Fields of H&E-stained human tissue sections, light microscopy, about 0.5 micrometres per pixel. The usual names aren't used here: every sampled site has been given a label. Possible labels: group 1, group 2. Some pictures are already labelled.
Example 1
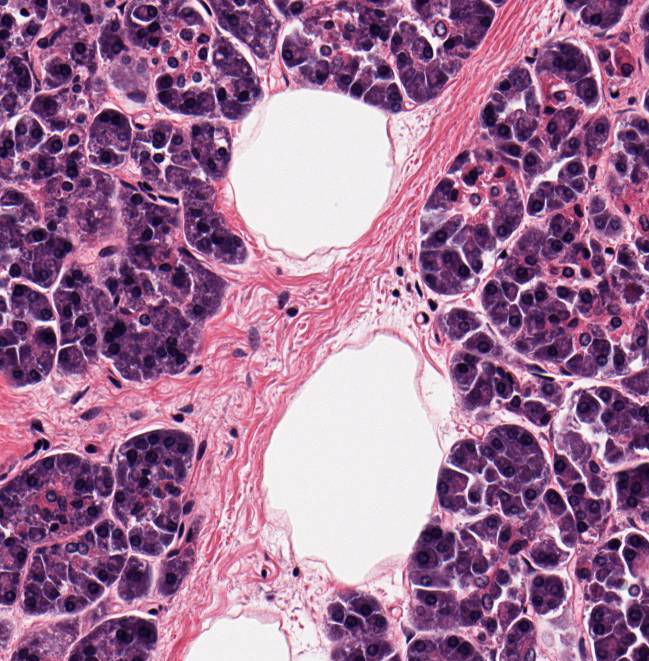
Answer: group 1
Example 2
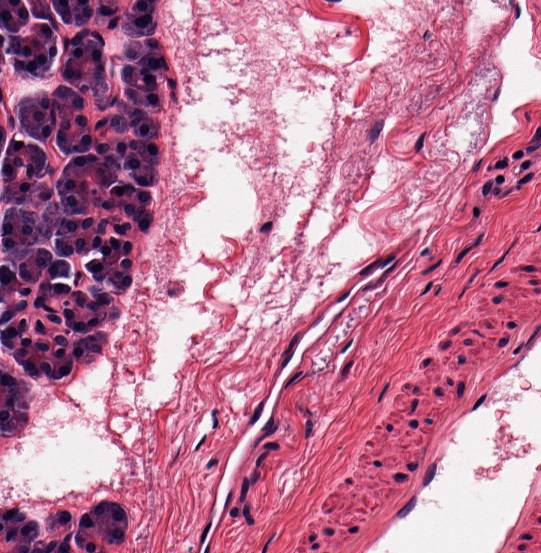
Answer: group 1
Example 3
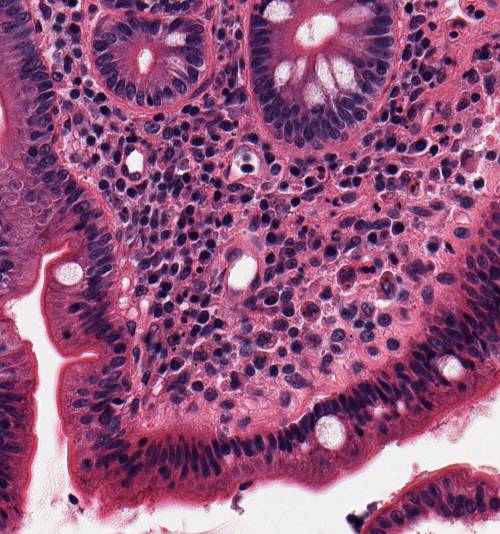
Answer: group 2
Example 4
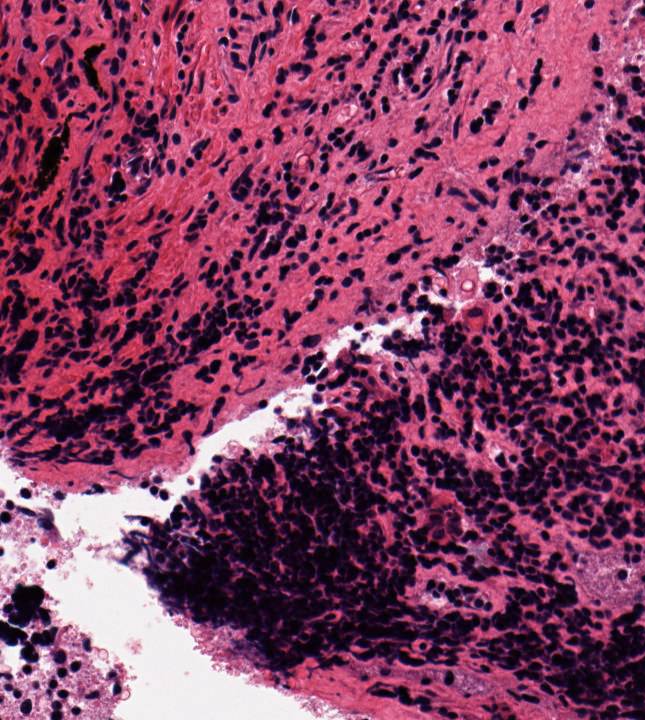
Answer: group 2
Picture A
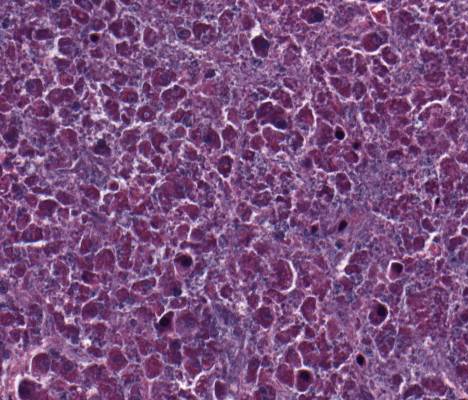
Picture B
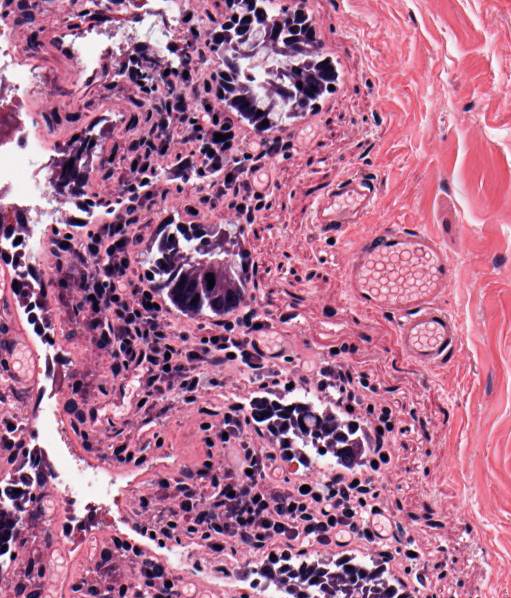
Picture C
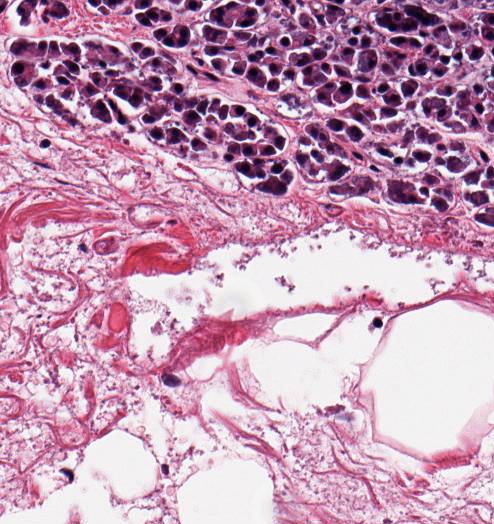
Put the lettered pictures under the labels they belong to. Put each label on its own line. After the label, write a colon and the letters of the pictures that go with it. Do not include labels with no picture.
group 1: A, C
group 2: B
